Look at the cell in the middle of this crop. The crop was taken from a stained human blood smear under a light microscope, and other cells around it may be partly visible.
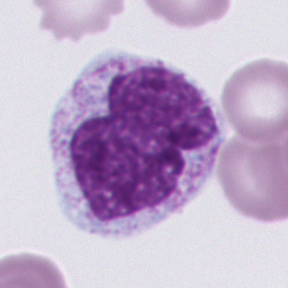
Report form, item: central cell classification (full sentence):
Framed in the middle of the crop is a band neutrophil.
